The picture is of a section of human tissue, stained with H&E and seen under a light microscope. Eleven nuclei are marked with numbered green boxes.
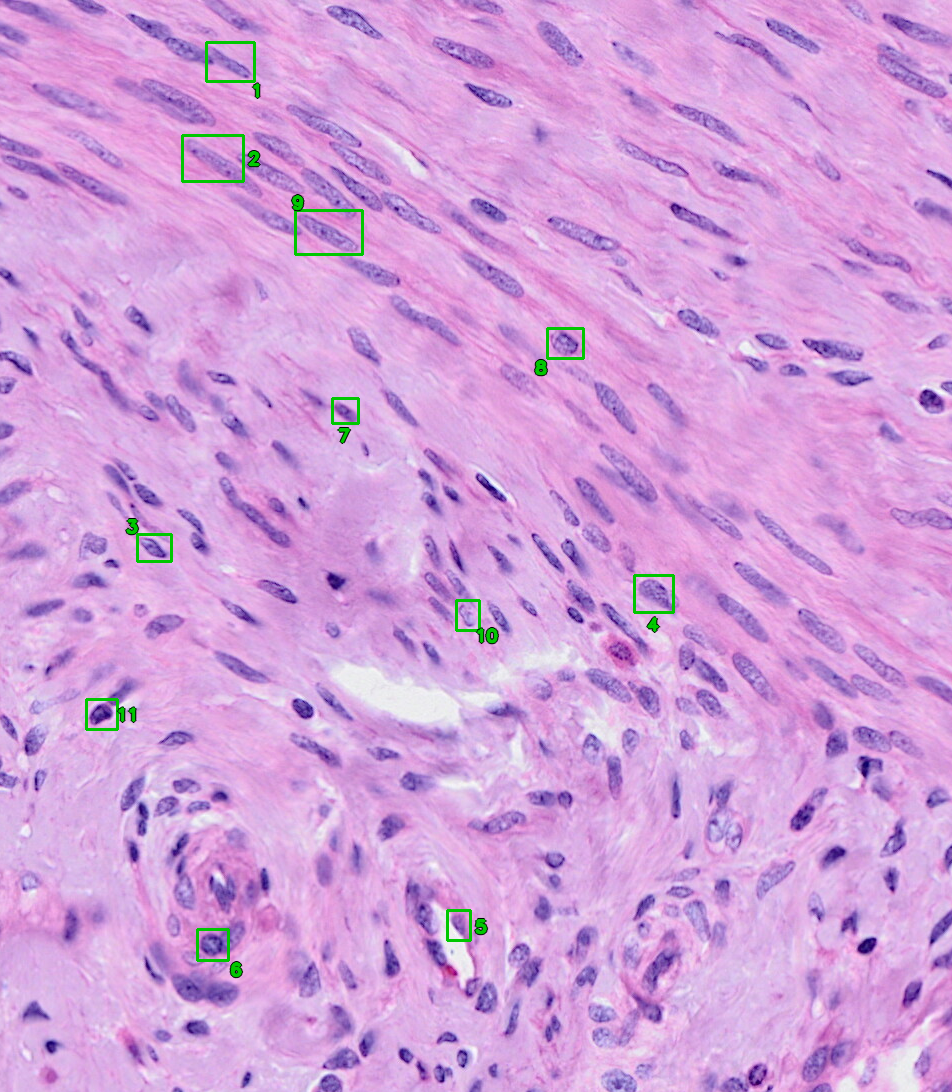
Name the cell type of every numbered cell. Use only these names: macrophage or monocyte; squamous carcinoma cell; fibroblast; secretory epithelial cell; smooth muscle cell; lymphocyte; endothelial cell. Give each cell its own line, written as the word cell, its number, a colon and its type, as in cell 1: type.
cell 1: fibroblast
cell 2: smooth muscle cell
cell 3: fibroblast
cell 4: fibroblast
cell 5: endothelial cell
cell 6: smooth muscle cell
cell 7: smooth muscle cell
cell 8: smooth muscle cell
cell 9: smooth muscle cell
cell 10: smooth muscle cell
cell 11: lymphocyte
